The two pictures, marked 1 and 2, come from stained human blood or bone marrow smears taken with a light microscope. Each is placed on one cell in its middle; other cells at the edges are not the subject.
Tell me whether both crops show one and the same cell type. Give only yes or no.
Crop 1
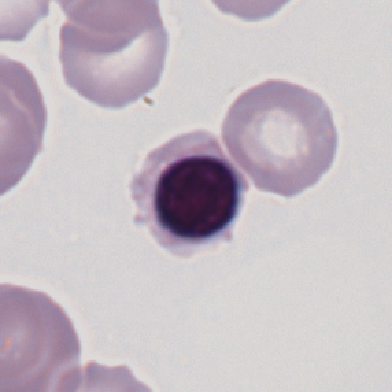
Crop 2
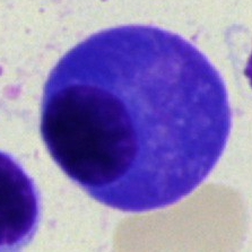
no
